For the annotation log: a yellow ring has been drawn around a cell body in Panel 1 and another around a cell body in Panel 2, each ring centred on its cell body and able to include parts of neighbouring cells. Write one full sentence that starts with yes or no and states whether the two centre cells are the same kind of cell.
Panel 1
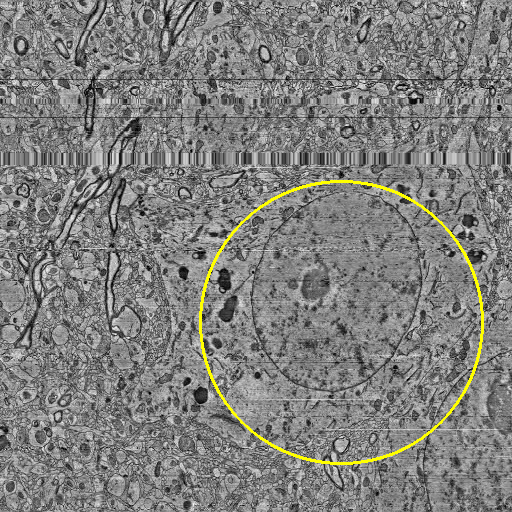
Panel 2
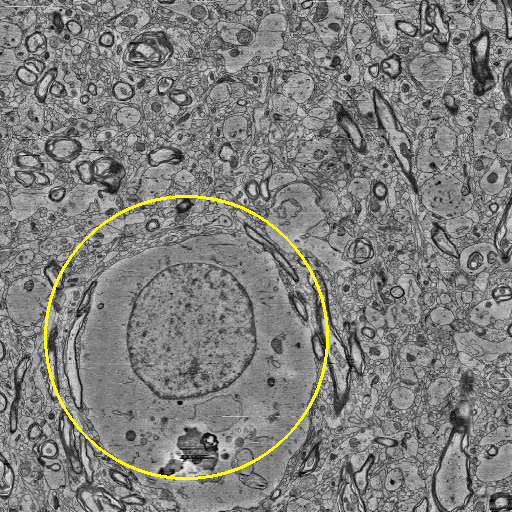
No, the two centre cells are two kinds of cell.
